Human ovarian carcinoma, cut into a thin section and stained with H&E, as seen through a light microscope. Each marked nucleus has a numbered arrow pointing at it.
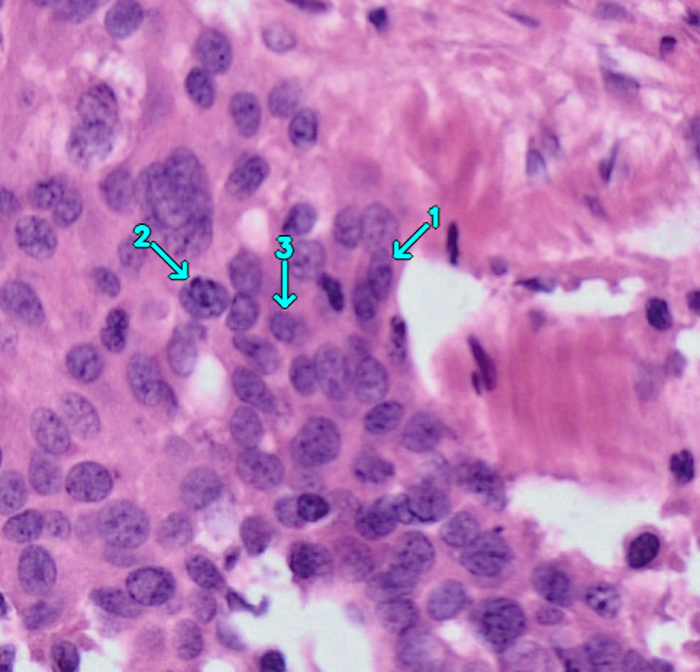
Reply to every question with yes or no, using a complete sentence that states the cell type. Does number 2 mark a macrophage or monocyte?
Yes, to put it simply, cell number 2 is a macrophage or monocyte.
